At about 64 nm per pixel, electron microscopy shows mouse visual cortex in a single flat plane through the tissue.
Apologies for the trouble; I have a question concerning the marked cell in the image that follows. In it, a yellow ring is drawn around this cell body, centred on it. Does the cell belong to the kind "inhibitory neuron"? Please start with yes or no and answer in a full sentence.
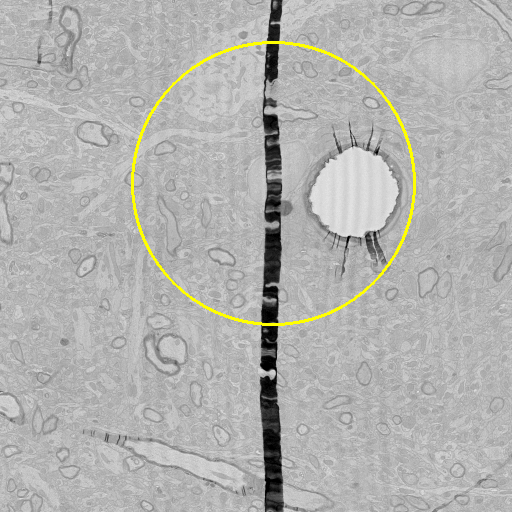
No, the ringed cell in the picture is of a different kind.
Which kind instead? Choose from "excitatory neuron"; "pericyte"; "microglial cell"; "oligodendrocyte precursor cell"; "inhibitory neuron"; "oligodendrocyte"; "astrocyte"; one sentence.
The cell shown in the ring is a microglial cell.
